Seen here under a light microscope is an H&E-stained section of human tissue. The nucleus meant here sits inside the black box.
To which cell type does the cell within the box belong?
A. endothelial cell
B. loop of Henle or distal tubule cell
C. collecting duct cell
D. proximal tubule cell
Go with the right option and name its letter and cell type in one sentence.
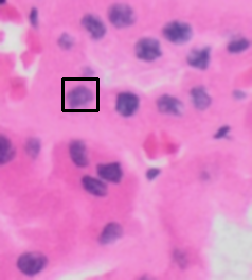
Here the correct option is B, since the cell within the box is a loop of Henle or distal tubule cell.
